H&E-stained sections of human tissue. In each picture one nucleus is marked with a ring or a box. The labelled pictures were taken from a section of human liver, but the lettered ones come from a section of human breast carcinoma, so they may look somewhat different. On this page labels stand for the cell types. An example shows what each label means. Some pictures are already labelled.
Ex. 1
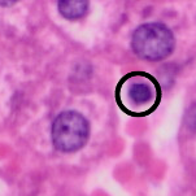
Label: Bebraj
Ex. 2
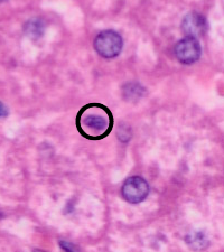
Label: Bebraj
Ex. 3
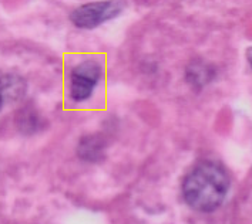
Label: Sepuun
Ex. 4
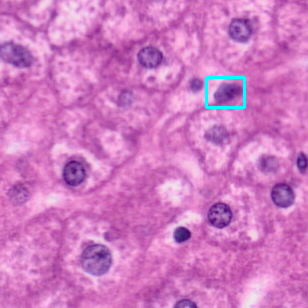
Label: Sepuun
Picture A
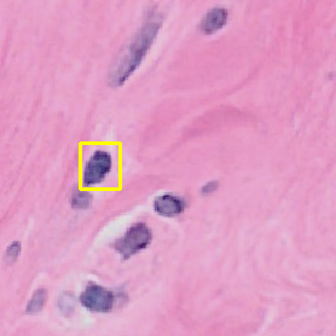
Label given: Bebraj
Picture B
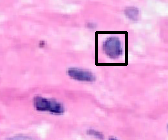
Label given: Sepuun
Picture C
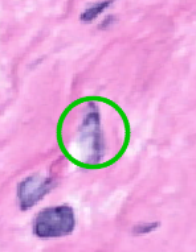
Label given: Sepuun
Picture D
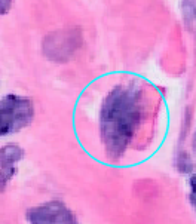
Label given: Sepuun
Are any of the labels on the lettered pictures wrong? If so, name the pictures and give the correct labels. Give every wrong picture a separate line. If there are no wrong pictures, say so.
B should be Bebraj, not Sepuun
